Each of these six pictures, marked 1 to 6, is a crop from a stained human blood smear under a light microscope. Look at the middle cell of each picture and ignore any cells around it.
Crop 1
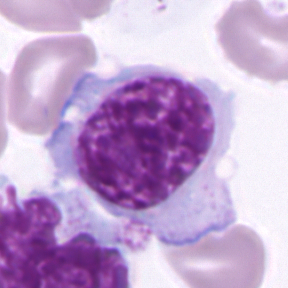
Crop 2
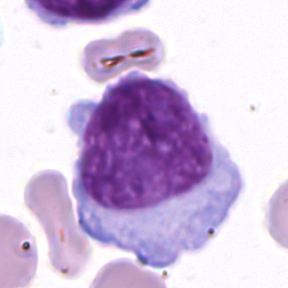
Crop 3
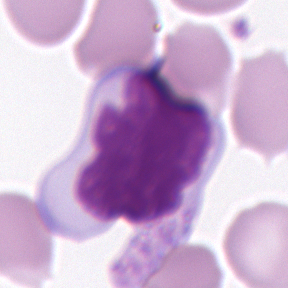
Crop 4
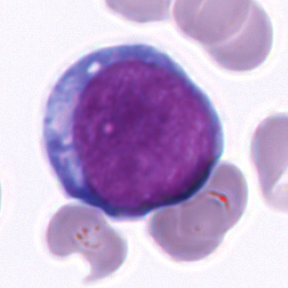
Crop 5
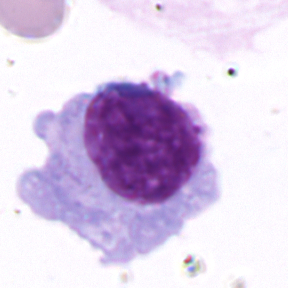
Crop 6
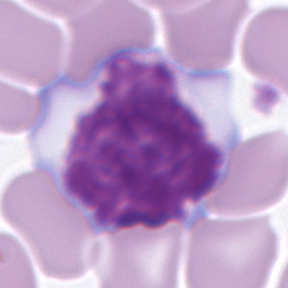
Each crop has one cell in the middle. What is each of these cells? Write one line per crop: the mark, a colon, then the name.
1: plasma cell
2: plasma cell
3: large granular lymphocyte
4: blast
5: plasma cell
6: monocyte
